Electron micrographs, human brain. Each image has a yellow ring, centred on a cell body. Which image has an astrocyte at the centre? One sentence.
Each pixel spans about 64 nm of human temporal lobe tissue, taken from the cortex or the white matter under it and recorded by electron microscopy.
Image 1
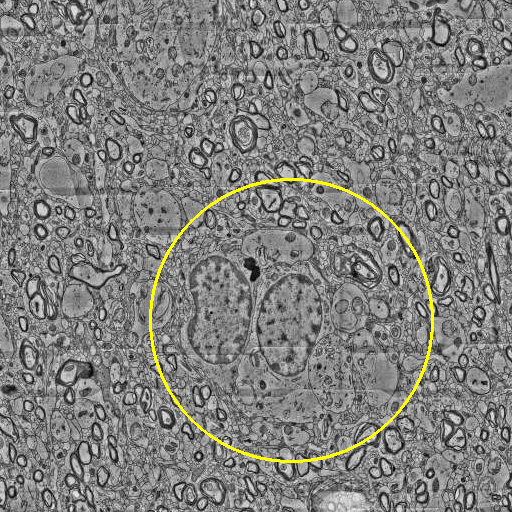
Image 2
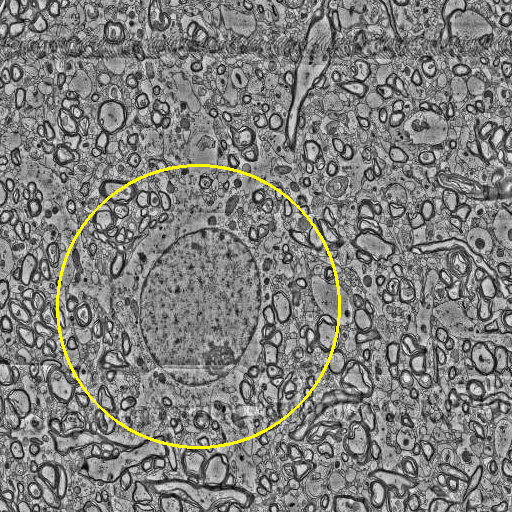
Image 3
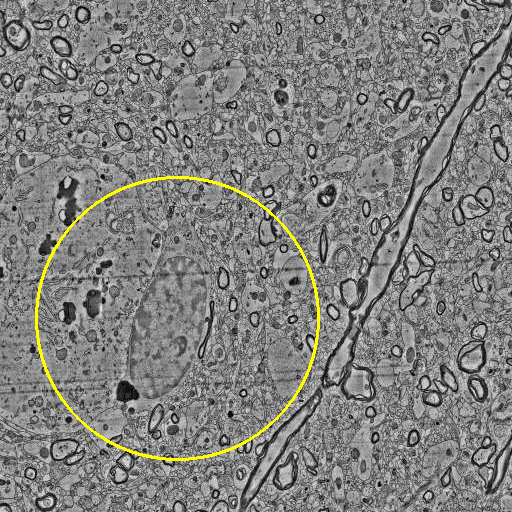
The ring in Image 2 is centred on it.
